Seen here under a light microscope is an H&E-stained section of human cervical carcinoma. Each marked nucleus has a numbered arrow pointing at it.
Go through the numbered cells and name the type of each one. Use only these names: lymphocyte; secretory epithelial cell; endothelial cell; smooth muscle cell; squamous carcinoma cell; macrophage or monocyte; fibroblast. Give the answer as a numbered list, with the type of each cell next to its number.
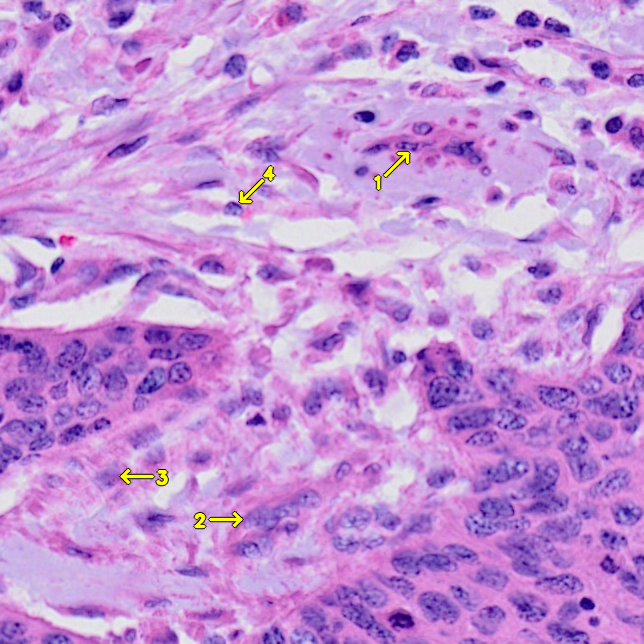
1. endothelial cell
2. endothelial cell
3. fibroblast
4. lymphocyte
